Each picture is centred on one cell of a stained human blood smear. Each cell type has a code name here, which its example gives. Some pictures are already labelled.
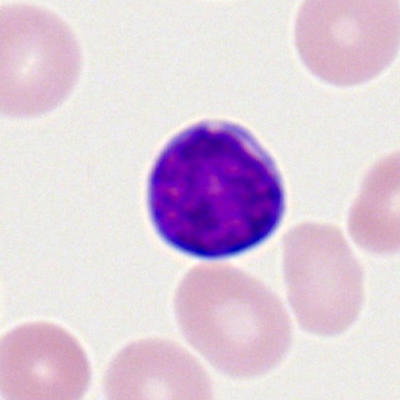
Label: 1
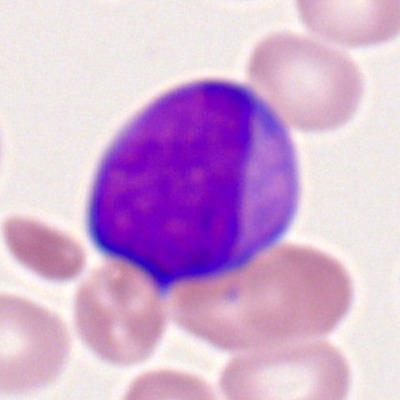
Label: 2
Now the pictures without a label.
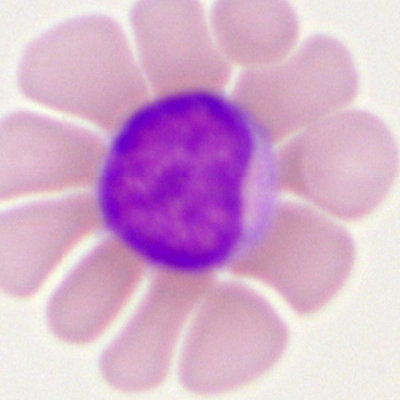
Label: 2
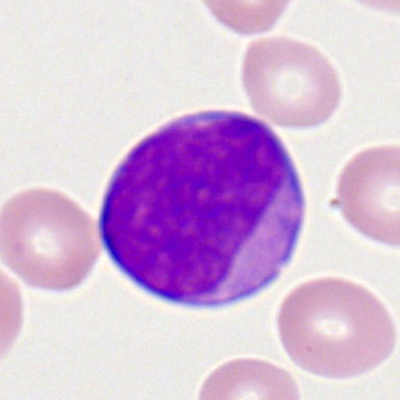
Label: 2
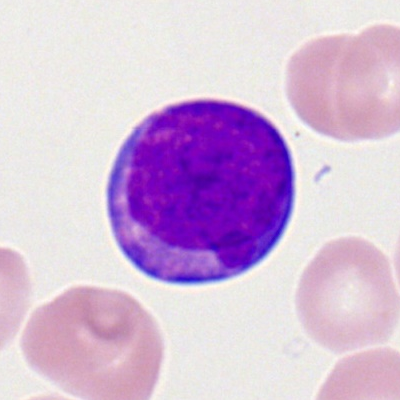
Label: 2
